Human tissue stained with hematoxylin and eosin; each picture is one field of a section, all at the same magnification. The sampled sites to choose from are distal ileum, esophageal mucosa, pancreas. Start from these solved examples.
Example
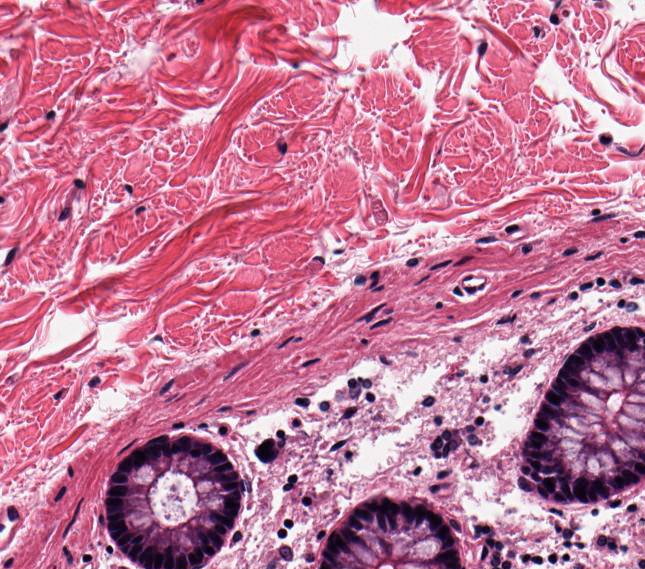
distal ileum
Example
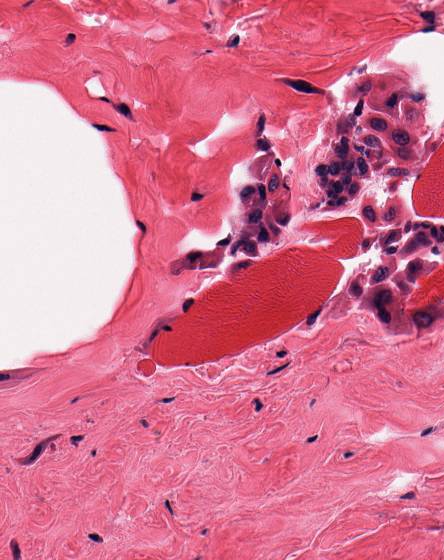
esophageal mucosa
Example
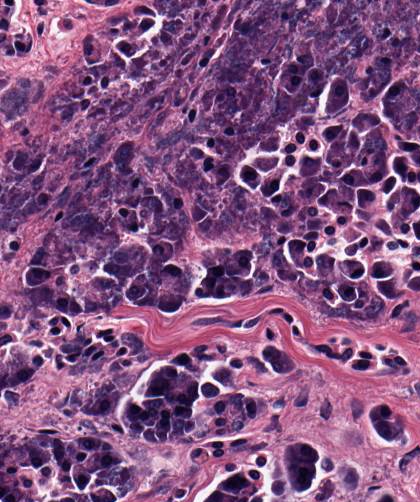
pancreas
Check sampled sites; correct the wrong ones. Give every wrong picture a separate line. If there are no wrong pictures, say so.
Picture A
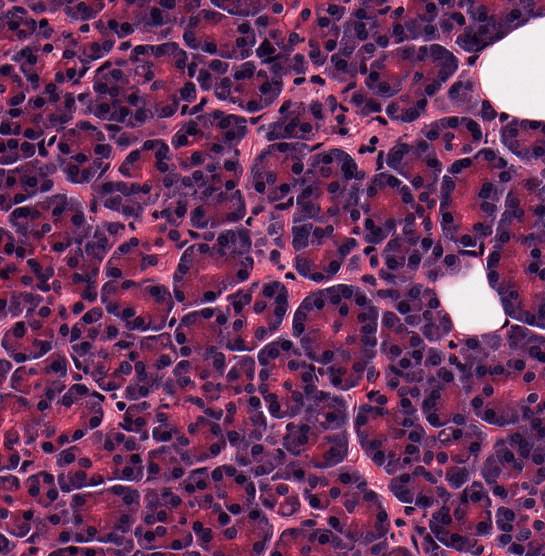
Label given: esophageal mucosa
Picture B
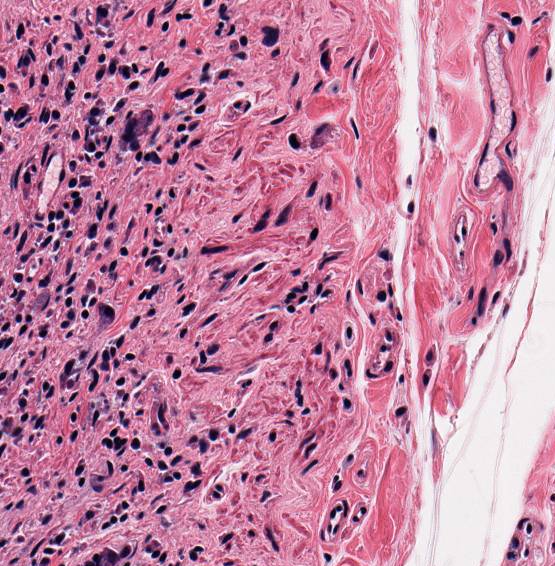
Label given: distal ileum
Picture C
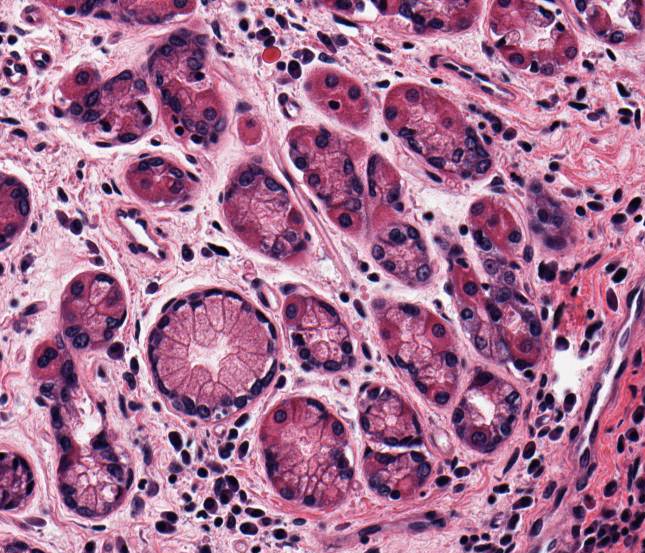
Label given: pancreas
A is labelled esophageal mucosa; correct label: pancreas
C is labelled pancreas; correct label: esophageal mucosa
